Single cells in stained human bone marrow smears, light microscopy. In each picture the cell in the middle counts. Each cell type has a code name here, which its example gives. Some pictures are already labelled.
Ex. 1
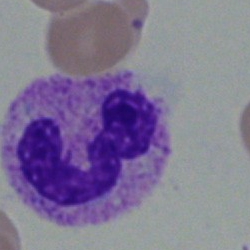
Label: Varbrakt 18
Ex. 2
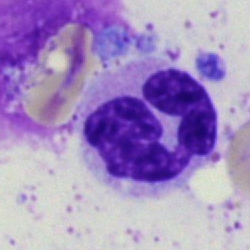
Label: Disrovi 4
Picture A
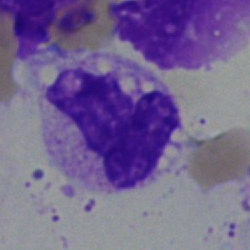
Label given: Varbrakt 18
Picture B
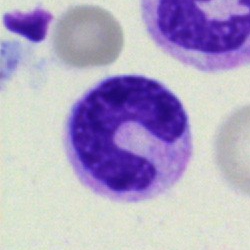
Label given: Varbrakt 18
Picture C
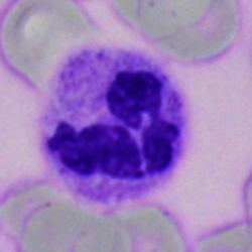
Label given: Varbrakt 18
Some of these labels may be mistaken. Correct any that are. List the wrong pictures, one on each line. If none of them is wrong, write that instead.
C: change Varbrakt 18 to Disrovi 4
